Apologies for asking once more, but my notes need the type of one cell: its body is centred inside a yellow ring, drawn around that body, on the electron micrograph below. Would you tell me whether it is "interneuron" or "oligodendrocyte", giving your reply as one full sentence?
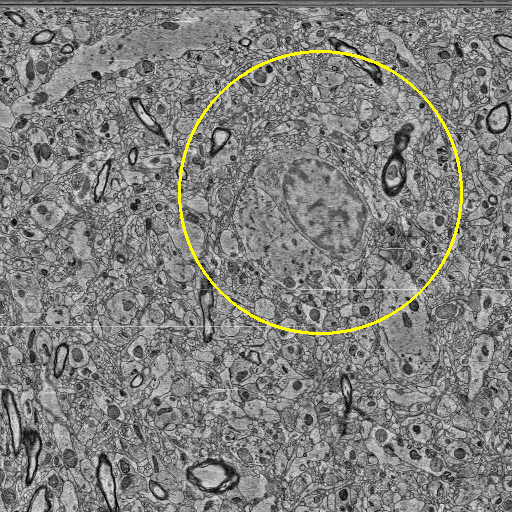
The cell that the yellow ring is centred on is an oligodendrocyte in this micrograph.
